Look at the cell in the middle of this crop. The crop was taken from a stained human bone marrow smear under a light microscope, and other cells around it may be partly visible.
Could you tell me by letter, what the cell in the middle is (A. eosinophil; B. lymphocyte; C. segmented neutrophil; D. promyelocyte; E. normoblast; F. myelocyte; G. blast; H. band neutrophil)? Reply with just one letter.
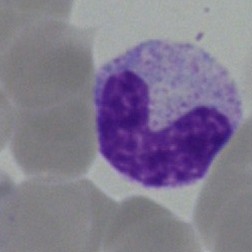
H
